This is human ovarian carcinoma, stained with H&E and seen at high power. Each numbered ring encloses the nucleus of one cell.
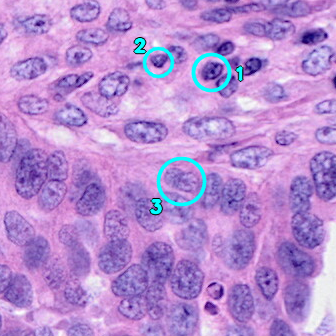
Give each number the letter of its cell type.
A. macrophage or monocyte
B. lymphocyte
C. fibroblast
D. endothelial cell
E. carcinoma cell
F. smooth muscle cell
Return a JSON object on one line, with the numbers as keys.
{"1": "B", "2": "B", "3": "E"}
